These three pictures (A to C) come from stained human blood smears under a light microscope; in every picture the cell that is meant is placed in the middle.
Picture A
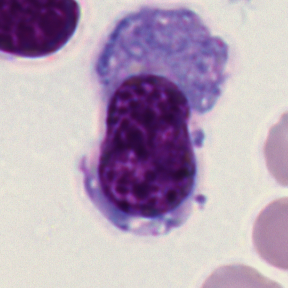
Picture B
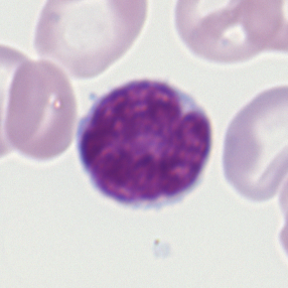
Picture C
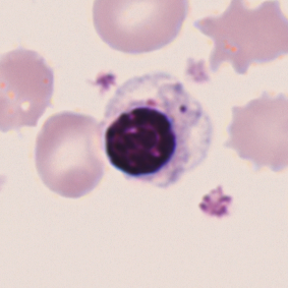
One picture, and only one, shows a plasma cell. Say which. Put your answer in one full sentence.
Picture A shows the plasma cell.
